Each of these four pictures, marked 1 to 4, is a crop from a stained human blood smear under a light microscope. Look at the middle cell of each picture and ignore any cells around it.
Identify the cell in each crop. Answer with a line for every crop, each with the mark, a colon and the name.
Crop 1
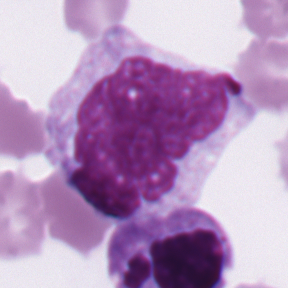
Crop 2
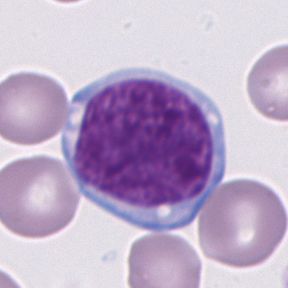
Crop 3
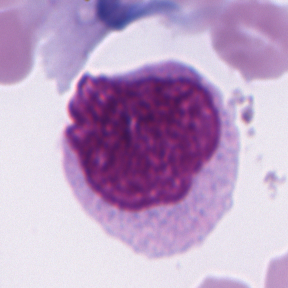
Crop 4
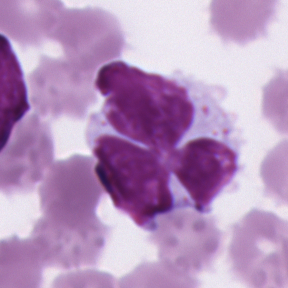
1: monocyte
2: myeloblast
3: monocyte
4: large granular lymphocyte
